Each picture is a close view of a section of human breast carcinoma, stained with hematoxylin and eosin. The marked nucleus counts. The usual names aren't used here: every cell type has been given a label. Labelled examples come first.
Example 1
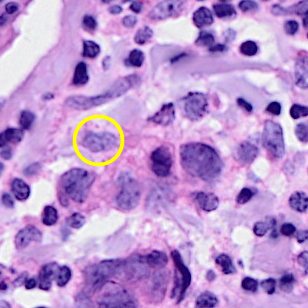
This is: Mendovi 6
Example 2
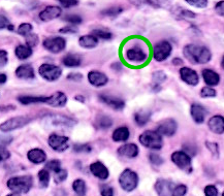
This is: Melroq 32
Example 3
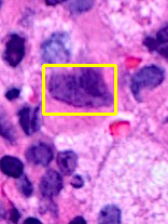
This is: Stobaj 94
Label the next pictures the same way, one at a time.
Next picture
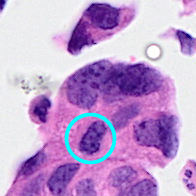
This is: Stobaj 94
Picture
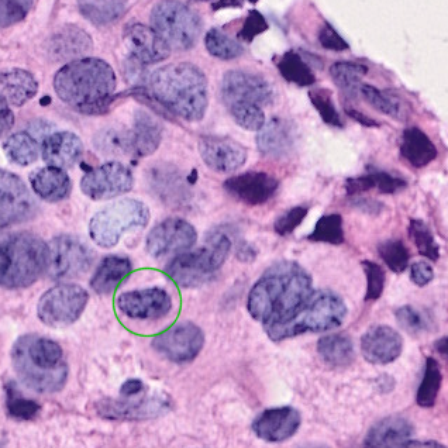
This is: Stobaj 94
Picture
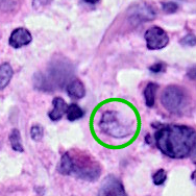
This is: Mendovi 6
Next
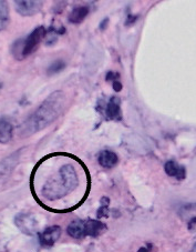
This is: Mendovi 6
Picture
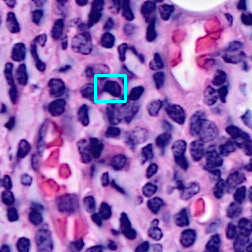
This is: Melroq 32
